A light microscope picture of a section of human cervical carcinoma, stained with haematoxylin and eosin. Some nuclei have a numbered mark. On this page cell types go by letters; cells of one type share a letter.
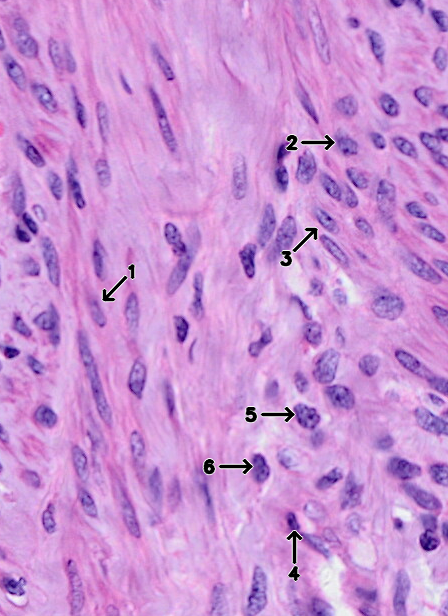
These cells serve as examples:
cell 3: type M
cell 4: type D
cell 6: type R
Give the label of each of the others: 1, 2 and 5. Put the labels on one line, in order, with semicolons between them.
type M; type M; type R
